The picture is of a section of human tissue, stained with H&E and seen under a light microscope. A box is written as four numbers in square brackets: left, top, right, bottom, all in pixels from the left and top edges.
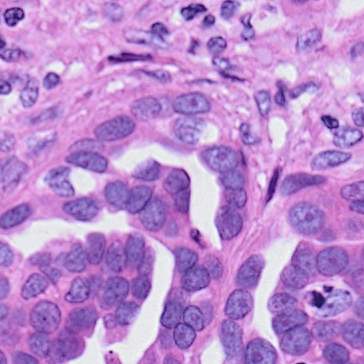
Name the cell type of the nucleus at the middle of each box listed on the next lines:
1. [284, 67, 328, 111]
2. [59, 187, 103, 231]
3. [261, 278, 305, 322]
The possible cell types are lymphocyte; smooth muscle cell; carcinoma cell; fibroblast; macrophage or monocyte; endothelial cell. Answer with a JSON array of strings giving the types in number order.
["fibroblast", "carcinoma cell", "carcinoma cell"]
